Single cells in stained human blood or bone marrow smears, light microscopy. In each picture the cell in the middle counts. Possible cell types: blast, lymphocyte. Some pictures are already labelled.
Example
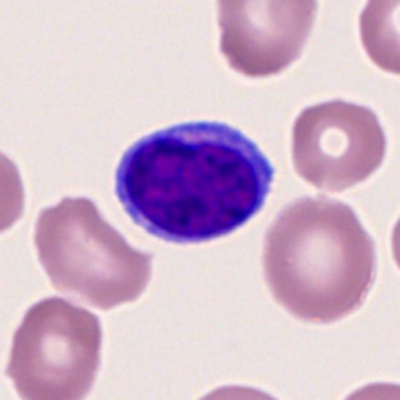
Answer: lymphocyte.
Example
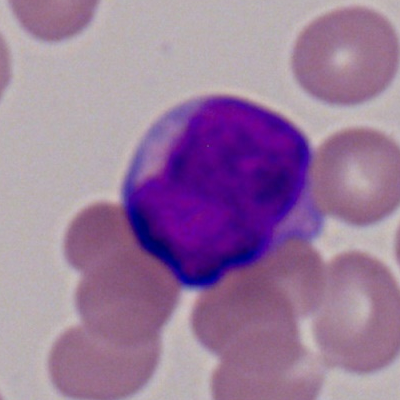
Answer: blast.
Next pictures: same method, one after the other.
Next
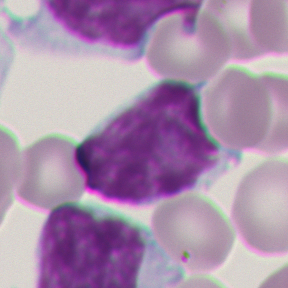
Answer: lymphocyte.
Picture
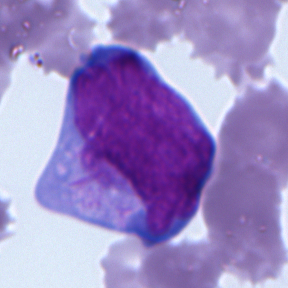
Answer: blast.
